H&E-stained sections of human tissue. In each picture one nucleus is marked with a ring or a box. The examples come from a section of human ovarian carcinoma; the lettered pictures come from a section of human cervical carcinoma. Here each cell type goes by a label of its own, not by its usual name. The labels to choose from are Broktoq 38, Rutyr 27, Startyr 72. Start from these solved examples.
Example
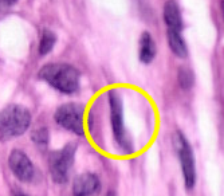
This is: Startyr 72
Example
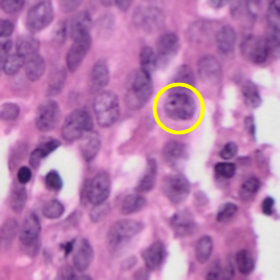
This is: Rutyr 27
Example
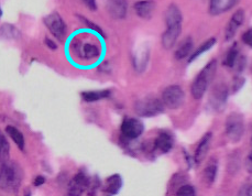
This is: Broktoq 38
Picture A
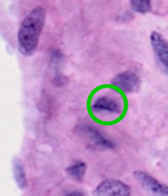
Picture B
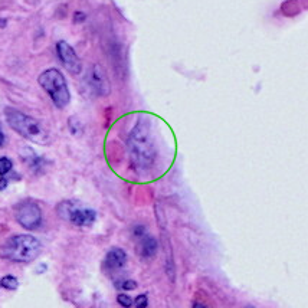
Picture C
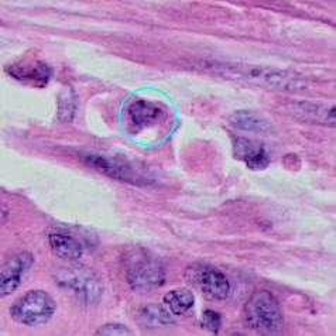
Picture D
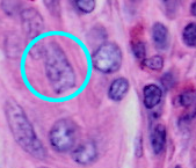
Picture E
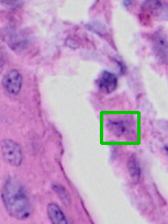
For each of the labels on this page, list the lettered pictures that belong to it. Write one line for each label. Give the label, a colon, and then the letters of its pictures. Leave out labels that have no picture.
Broktoq 38: B, D
Rutyr 27: C, E
Startyr 72: A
